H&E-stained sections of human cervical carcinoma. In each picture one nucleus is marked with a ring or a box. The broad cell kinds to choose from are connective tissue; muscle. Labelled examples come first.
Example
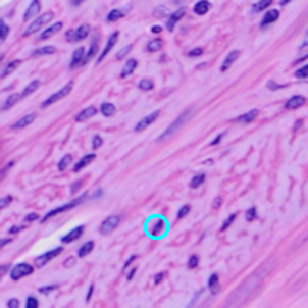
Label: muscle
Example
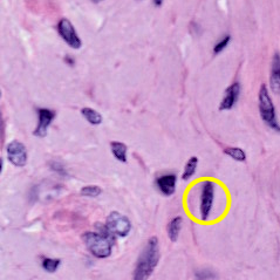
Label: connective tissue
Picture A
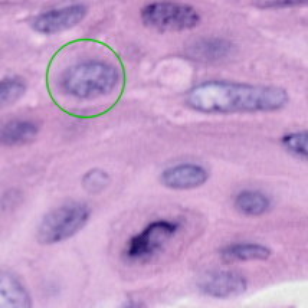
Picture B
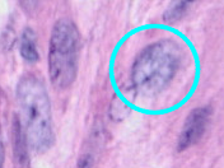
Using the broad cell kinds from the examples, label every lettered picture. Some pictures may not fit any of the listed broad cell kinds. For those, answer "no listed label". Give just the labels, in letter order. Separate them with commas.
no listed label, no listed label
